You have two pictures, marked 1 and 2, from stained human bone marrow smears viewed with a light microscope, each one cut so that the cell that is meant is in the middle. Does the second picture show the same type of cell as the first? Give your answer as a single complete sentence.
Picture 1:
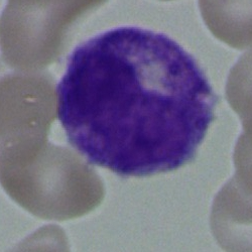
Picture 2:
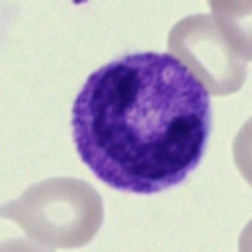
No, picture 1 shows a metamyelocyte and picture 2 shows a band neutrophil.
